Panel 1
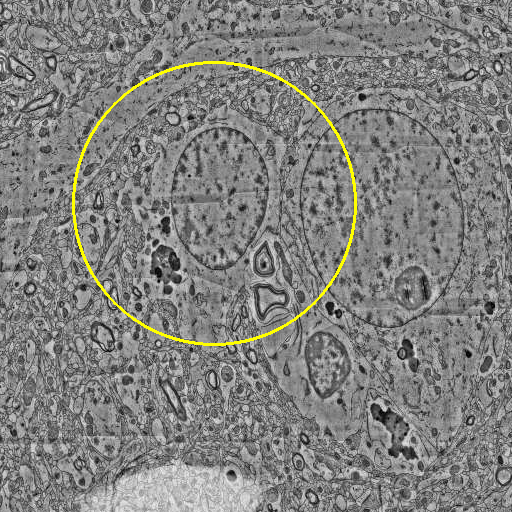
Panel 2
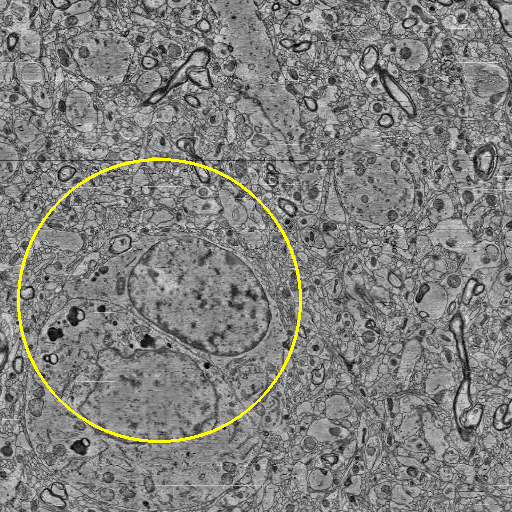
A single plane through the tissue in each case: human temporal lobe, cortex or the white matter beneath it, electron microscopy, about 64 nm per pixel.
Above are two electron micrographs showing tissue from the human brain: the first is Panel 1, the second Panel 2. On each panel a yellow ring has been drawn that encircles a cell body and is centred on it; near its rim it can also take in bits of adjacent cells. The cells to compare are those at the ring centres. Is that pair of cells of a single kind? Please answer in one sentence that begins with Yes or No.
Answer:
No, the ring-centred cells of Panel 1 and Panel 2 belong to two kinds.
